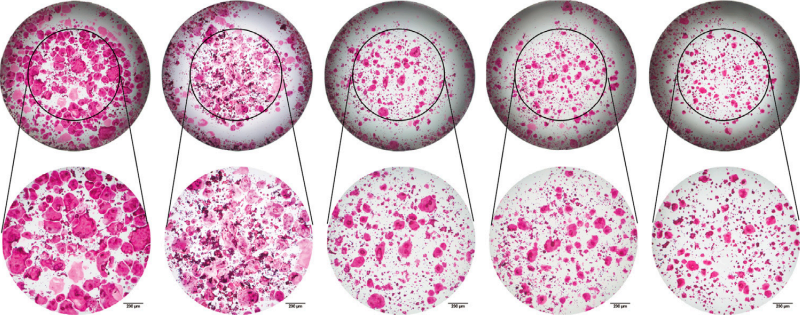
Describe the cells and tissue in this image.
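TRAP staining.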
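The osteoclasts appear as large, flat, irregular cells many times the size of the small surrounding cells, with scattered dark purple granular material between them. Moving along the row, the large spread cells become fewer and smaller, leaving mostly small pink cells.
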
